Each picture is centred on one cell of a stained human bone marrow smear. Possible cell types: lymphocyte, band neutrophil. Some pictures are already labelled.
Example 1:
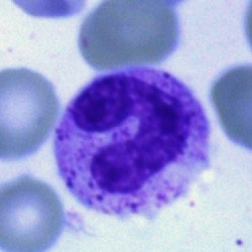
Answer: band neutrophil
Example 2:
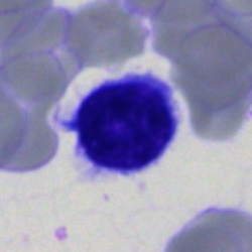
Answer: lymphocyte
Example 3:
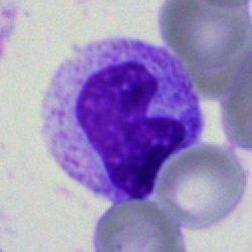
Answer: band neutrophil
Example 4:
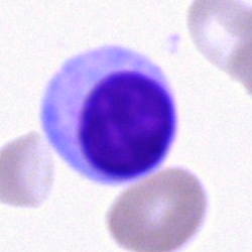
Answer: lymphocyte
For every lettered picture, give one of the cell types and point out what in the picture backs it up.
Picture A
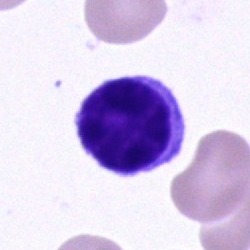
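Answer: lymphocyte. The nucleus fills most of the cell.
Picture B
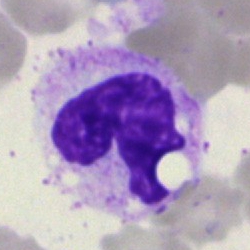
Answer: band neutrophil. The cytoplasm is plentiful and pale pinkish-lilac.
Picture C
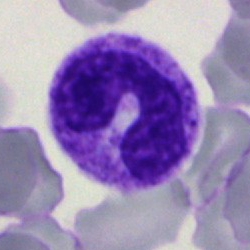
Answer: band neutrophil. The nucleus is a single curved band bent into a horseshoe around a pale notch.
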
